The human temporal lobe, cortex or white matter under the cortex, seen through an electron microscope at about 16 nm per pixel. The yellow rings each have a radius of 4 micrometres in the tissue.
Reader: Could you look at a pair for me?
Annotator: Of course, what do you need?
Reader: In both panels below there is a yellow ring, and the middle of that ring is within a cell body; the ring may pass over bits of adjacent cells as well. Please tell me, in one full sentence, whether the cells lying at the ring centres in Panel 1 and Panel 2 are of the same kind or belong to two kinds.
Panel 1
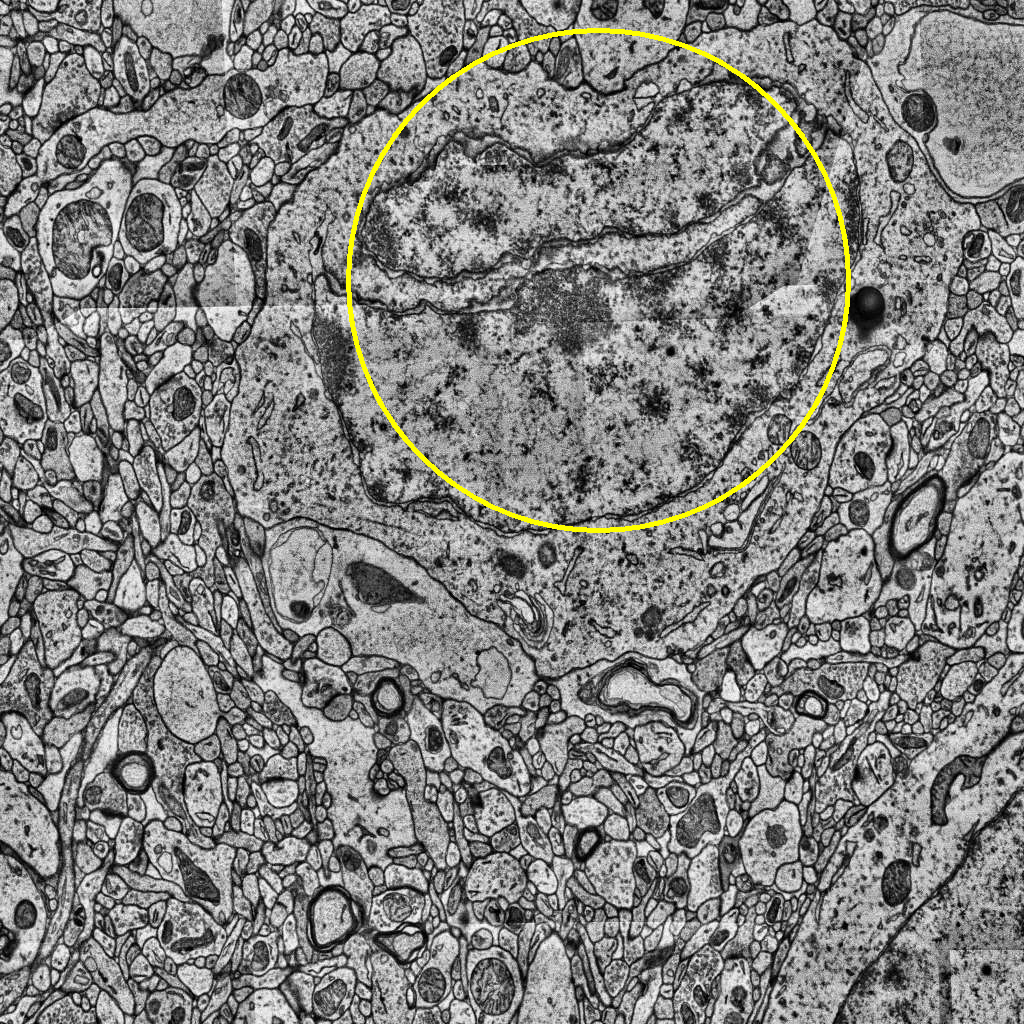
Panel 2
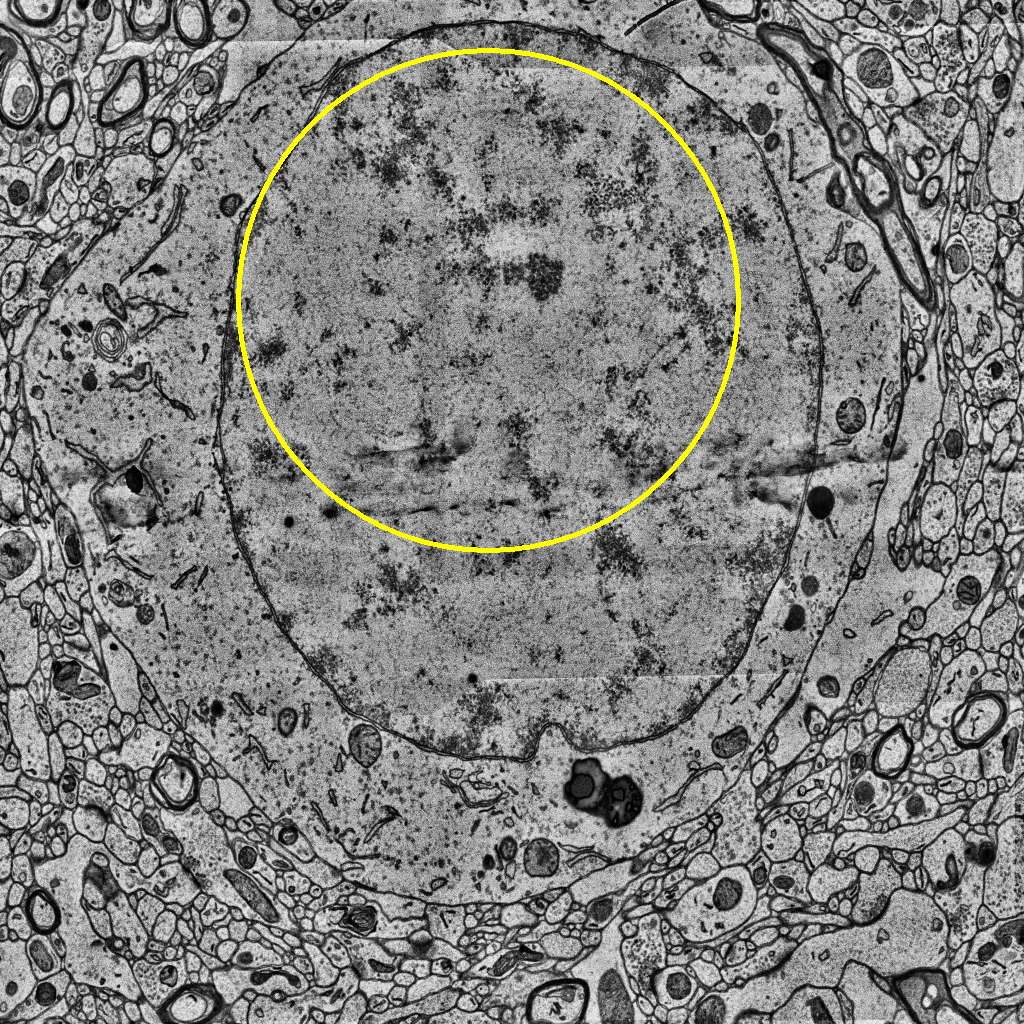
The cell at the ring's centre in Panel 1 and the one in Panel 2 belong to two kinds.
